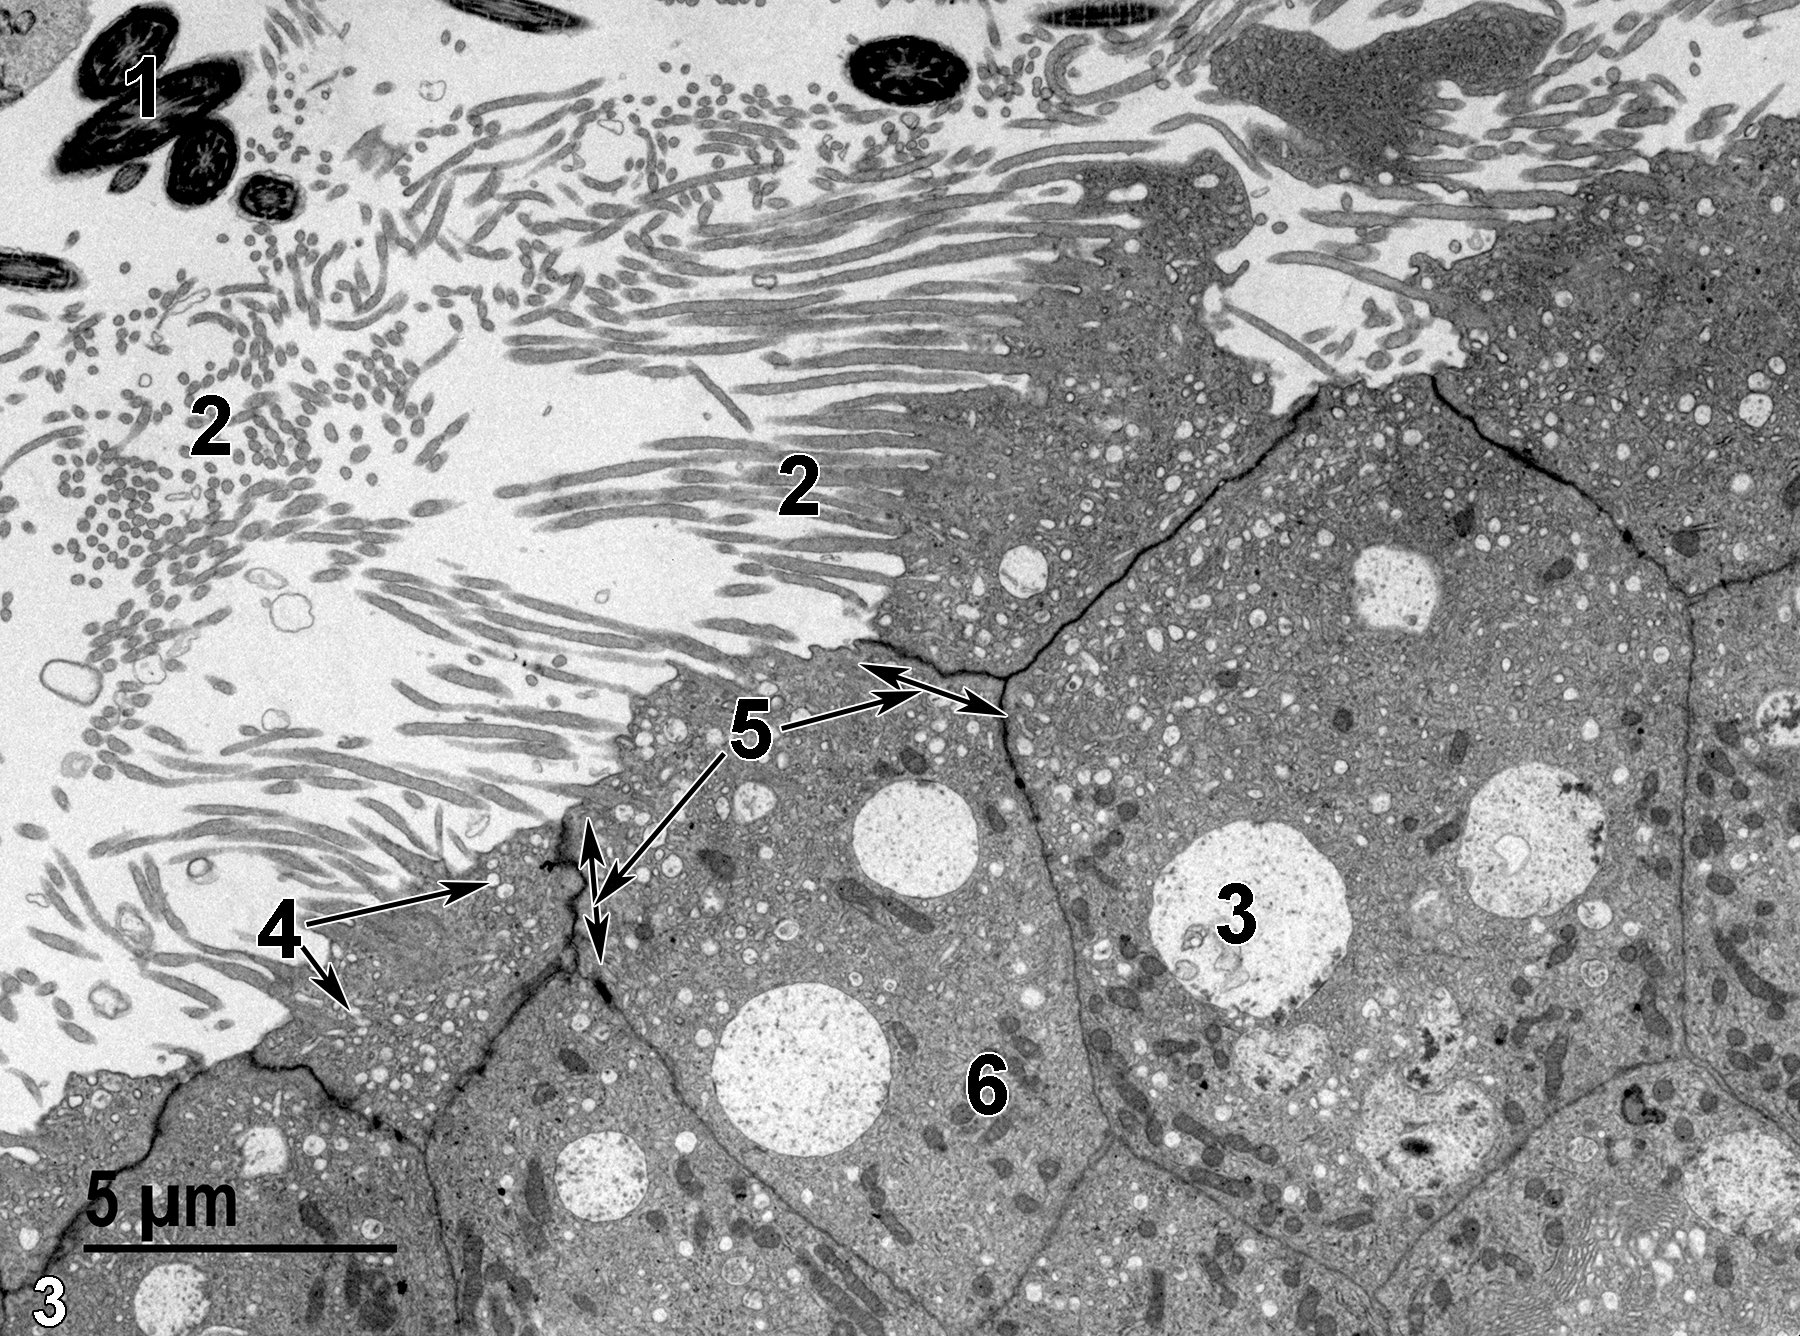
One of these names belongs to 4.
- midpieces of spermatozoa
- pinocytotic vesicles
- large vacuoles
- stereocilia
pinocytotic vesicles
